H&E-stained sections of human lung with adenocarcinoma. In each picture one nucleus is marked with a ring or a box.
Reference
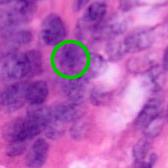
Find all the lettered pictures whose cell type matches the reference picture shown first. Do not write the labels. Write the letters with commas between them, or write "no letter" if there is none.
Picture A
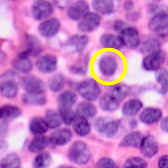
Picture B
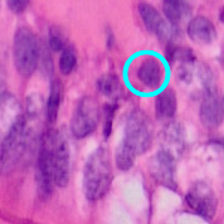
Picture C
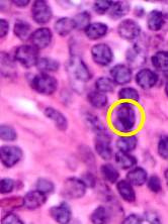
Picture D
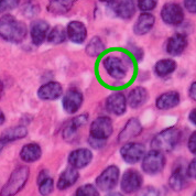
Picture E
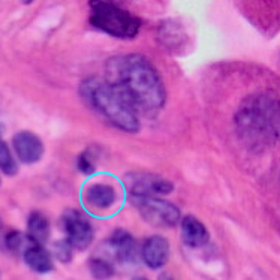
B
